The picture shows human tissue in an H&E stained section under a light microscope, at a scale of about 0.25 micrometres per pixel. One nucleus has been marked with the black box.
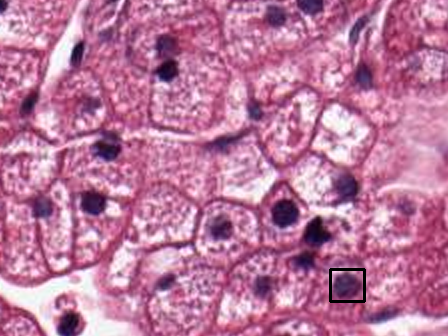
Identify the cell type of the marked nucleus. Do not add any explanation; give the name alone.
adrenal cortical cell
